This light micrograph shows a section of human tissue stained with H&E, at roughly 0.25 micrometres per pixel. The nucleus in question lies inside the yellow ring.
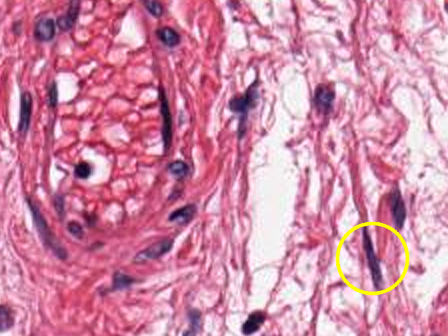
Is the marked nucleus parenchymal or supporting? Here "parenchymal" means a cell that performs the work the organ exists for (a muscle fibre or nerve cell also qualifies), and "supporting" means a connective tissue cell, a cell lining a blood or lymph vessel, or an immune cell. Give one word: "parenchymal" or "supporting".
supporting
